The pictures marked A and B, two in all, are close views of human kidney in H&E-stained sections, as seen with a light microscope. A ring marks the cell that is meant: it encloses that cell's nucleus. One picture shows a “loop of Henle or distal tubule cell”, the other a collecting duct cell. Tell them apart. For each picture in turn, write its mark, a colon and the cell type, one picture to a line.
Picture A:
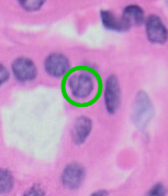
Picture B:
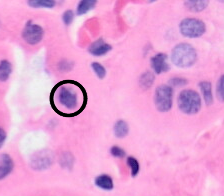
A: collecting duct cell
B: loop of Henle or distal tubule cell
